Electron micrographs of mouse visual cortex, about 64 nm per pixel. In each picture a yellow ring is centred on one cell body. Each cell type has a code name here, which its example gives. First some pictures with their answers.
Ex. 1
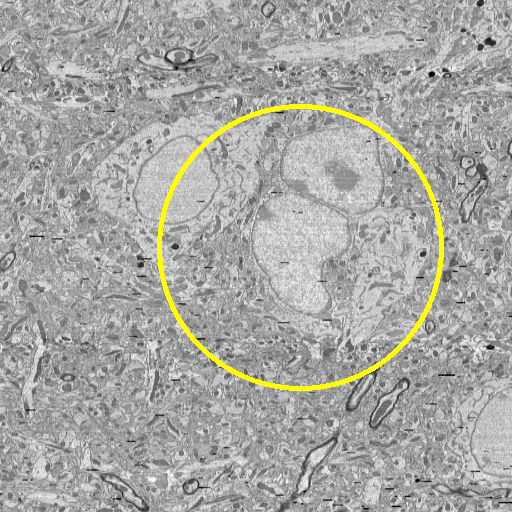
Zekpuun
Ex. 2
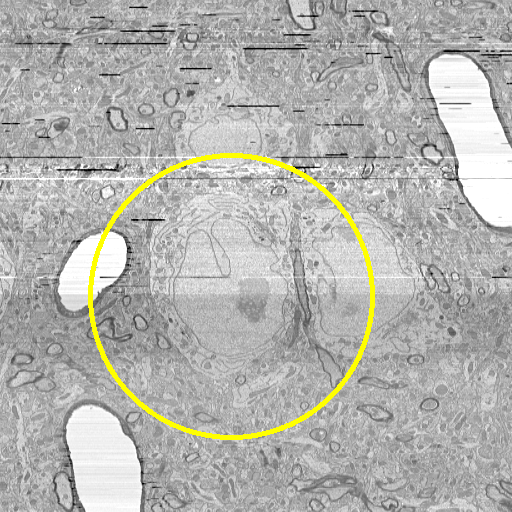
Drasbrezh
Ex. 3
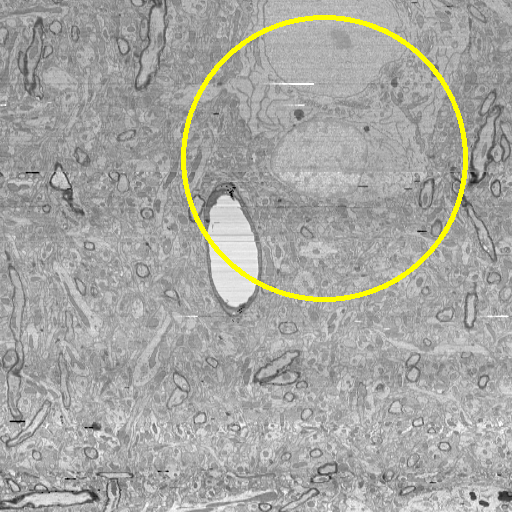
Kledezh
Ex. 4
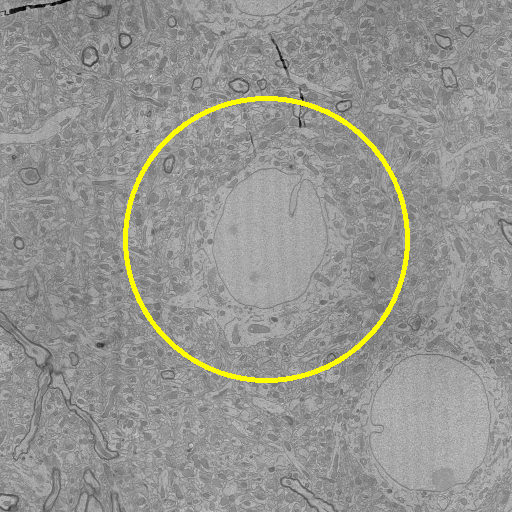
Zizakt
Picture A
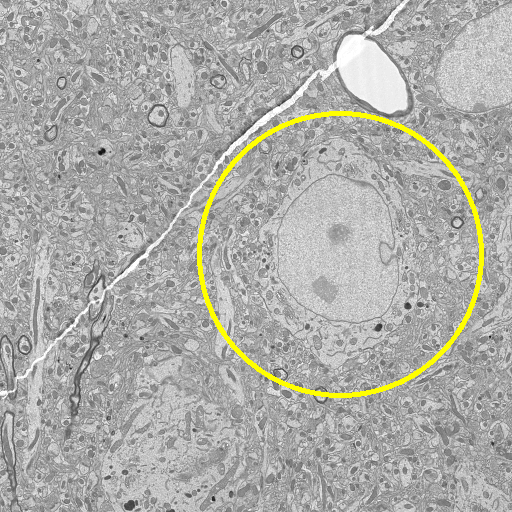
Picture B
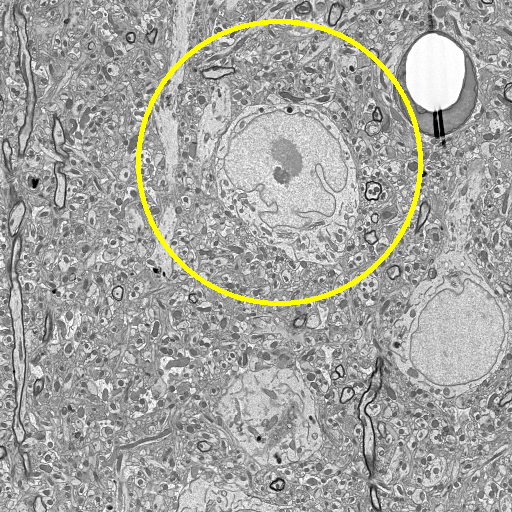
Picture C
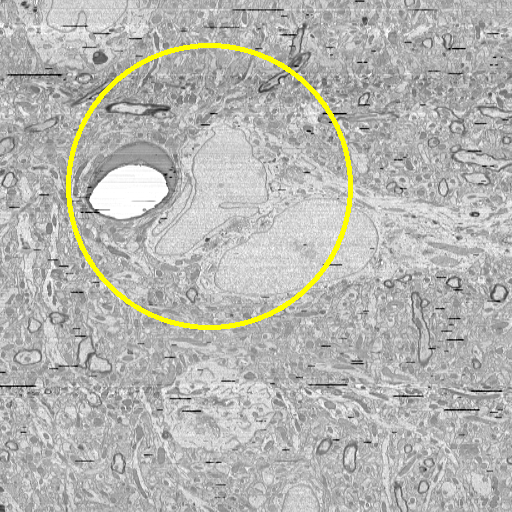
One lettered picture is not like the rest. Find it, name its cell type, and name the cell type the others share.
A (Zizakt) is the exception; every other picture is Drasbrezh.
